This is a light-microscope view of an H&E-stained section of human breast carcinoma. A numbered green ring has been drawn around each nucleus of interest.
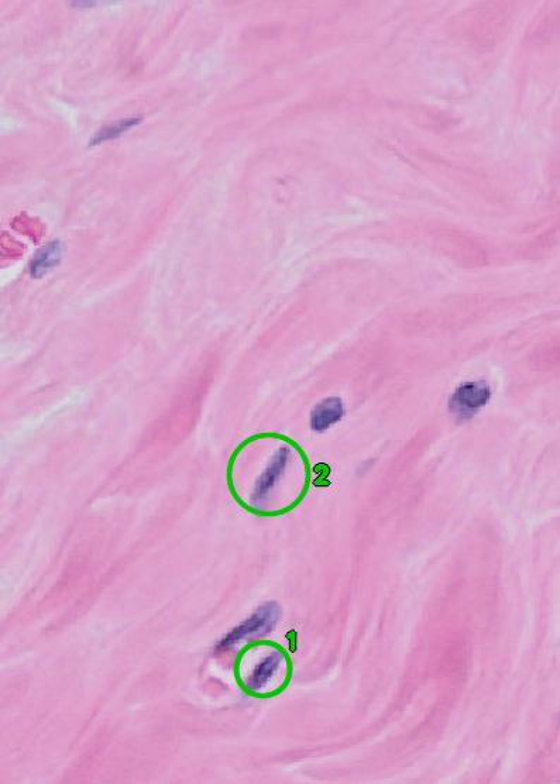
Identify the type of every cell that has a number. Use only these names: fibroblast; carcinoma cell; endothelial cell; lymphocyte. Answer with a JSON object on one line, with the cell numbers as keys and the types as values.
{"1": "endothelial cell", "2": "fibroblast"}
